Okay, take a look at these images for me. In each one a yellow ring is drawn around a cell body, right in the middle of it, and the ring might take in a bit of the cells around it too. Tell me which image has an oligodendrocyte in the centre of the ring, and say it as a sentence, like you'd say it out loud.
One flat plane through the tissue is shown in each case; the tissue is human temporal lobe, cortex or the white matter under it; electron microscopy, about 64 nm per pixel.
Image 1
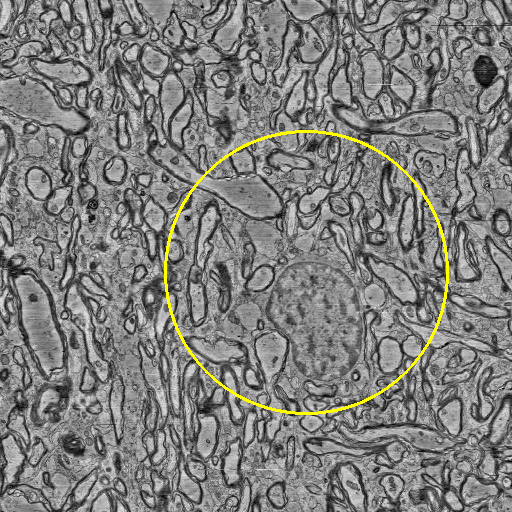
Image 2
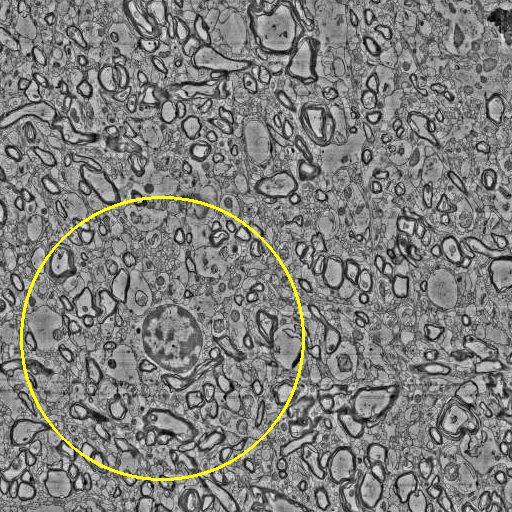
Image 1 is the one with it in the centre of the ring.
